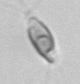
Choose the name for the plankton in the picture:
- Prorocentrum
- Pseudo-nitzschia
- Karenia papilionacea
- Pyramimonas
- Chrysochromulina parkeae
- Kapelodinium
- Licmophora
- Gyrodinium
Chrysochromulina parkeae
